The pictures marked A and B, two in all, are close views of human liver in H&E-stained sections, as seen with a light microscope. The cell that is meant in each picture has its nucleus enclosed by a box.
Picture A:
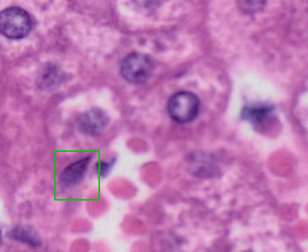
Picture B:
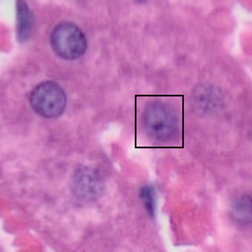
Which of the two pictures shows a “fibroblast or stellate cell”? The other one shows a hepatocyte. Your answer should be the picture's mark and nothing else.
A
